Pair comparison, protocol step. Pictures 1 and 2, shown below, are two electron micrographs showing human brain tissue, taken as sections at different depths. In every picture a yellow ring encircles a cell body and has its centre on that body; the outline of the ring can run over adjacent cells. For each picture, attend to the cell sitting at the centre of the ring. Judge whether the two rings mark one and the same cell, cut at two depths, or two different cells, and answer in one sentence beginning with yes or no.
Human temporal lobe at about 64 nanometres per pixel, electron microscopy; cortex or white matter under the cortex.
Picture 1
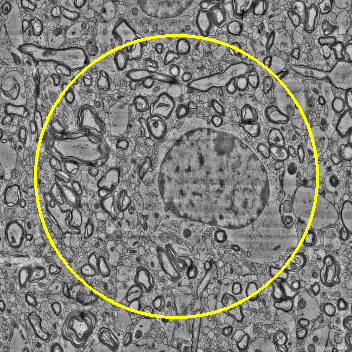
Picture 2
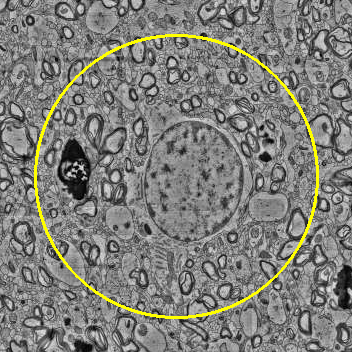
Yes, both yellow rings mark one and the same cell.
